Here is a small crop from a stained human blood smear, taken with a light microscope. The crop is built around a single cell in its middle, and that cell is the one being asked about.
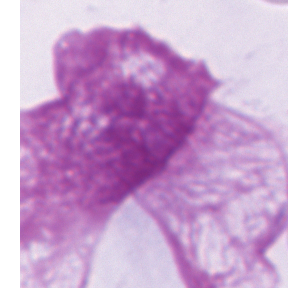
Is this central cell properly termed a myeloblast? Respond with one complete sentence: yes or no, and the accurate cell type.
No, the central cell is classed as a smudge cell and not as a myeloblast.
